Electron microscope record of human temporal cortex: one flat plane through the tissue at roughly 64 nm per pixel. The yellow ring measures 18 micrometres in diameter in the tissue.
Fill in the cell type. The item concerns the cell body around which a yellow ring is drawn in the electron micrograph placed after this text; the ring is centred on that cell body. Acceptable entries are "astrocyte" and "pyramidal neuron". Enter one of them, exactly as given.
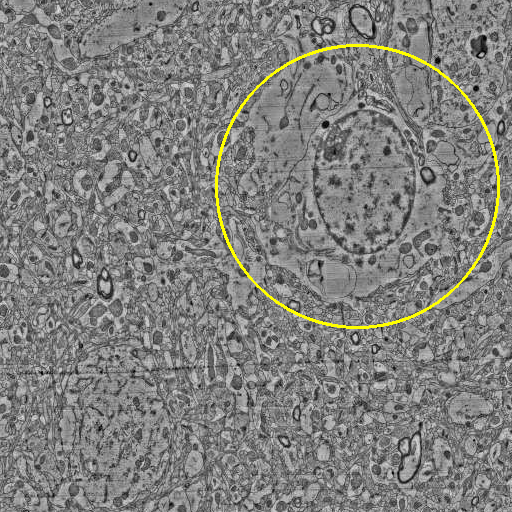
astrocyte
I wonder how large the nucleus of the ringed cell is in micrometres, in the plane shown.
In this plane, approximately 9 by 6 micrometers.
